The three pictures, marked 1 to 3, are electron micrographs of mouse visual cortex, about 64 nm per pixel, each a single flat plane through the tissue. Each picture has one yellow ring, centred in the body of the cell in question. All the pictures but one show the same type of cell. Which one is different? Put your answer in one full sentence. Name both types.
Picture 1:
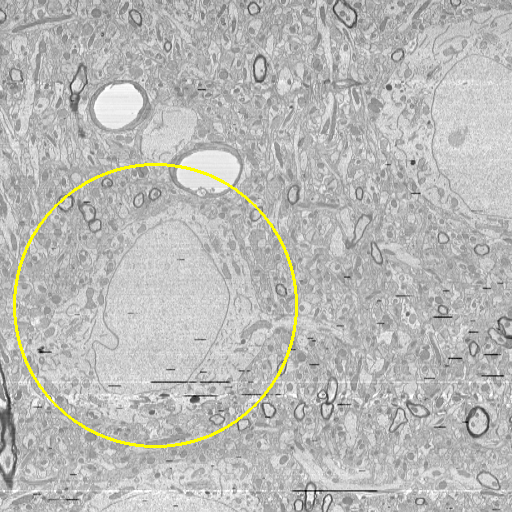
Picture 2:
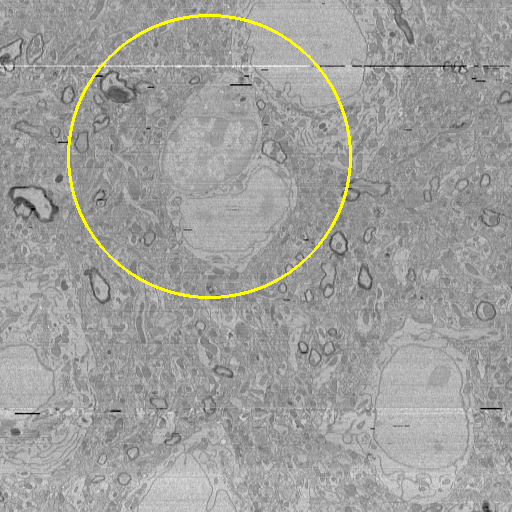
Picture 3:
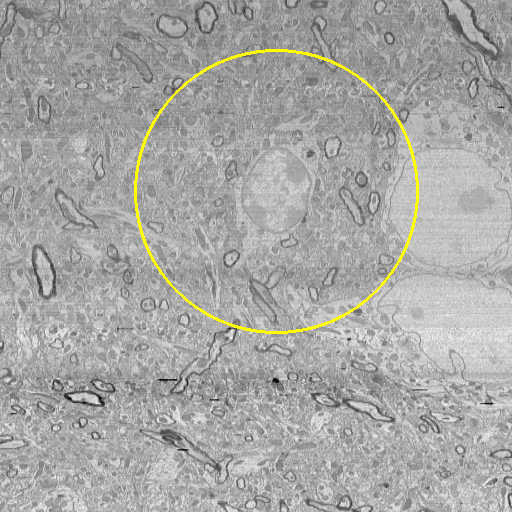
Picture 1 is the odd one out: it shows an excitatory neuron, while the others show oligodendrocytes.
